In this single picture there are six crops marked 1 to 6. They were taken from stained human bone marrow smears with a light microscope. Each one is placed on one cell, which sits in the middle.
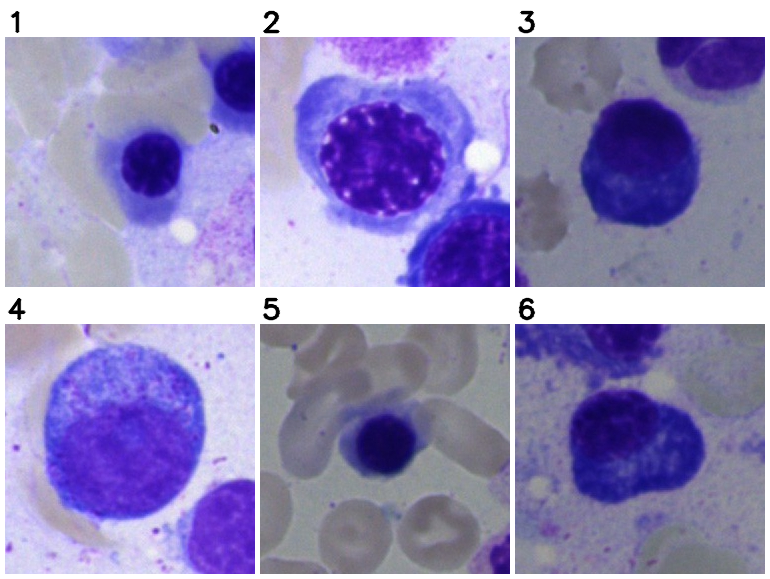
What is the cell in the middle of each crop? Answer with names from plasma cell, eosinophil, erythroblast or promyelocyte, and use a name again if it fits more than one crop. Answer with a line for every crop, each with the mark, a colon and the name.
1: erythroblast
2: erythroblast
3: plasma cell
4: promyelocyte
5: erythroblast
6: plasma cell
